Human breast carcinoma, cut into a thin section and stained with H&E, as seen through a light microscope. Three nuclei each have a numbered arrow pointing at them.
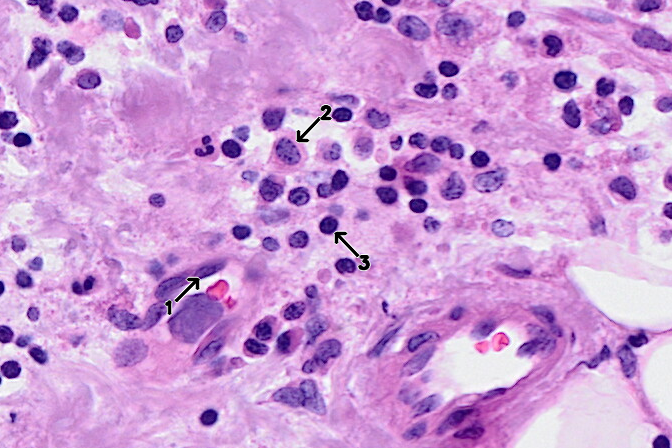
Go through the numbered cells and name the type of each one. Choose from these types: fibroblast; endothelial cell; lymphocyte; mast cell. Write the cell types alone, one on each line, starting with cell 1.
endothelial cell
mast cell
lymphocyte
